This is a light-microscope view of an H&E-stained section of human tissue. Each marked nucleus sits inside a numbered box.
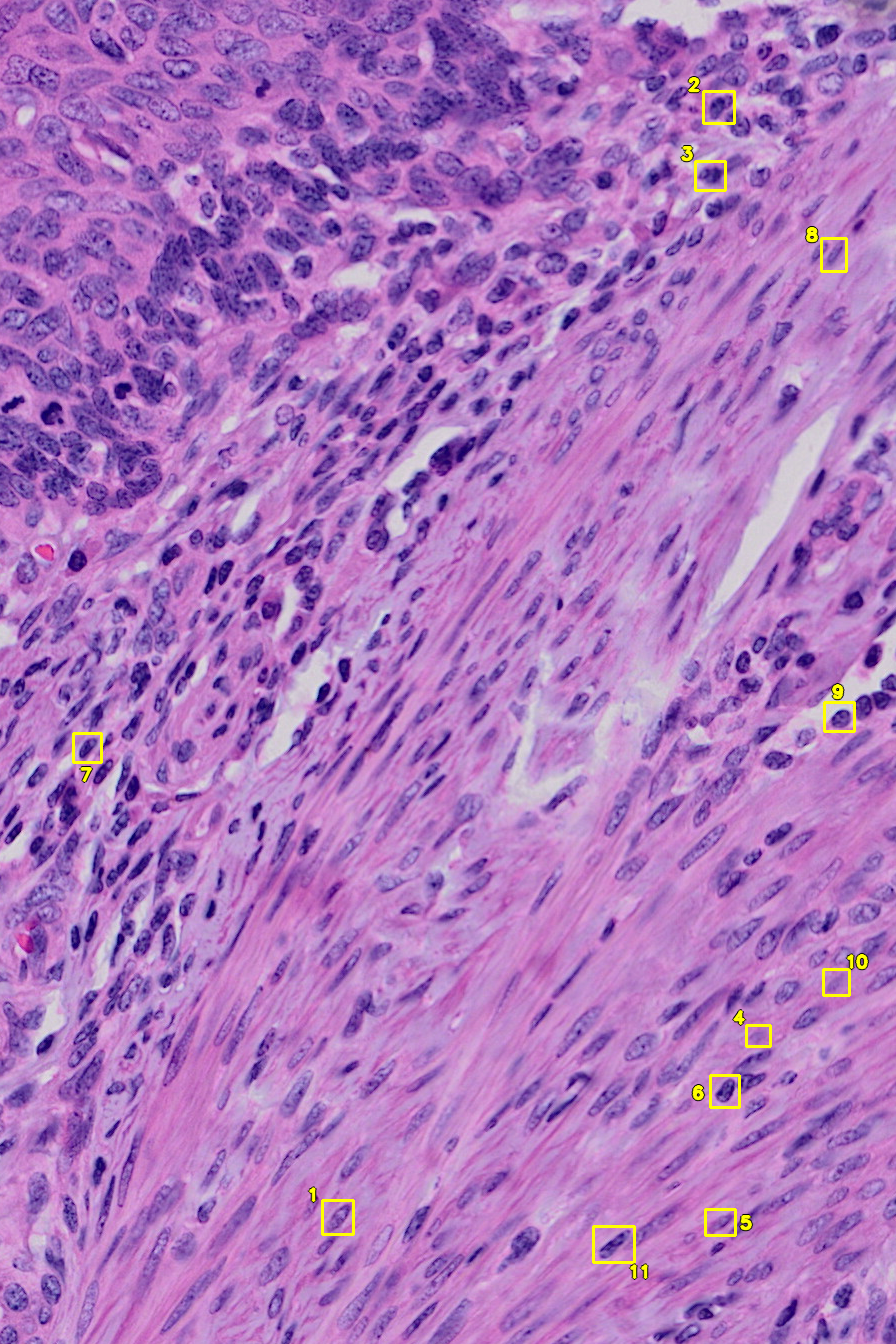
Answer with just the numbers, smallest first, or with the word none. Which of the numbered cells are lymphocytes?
2, 3, 6, 7, 9, 11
